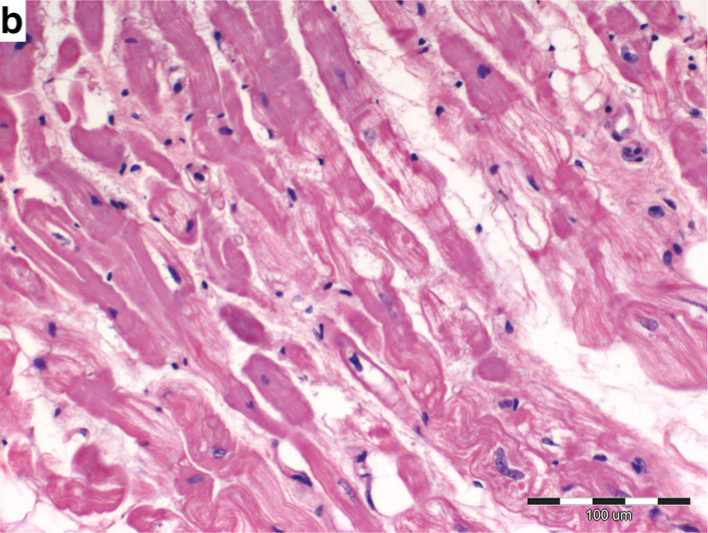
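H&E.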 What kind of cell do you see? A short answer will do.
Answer: Cardiomyocyte.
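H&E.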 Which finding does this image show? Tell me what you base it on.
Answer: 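The muscle fibres are irregular in shape and width. Several fibres contain clear vacuoles.
Answer: myocardial degeneration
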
